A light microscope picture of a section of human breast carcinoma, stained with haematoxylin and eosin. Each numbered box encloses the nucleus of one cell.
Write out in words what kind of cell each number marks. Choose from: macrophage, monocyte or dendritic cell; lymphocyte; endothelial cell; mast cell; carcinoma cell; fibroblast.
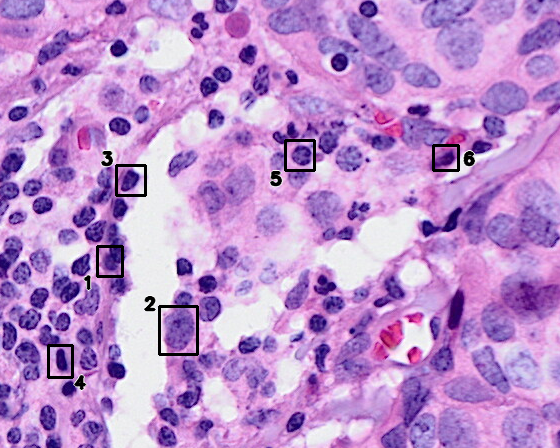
Cell 1 is a lymphocyte, cell 2 is a carcinoma cell, cell 3 is a lymphocyte, cell 4 is a lymphocyte, cell 5 is a lymphocyte and cell 6 is an endothelial cell.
